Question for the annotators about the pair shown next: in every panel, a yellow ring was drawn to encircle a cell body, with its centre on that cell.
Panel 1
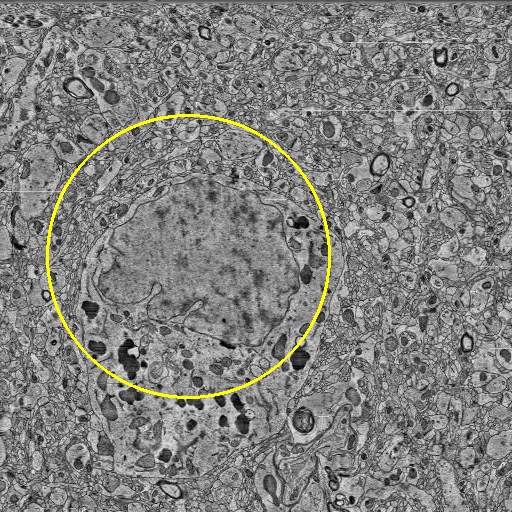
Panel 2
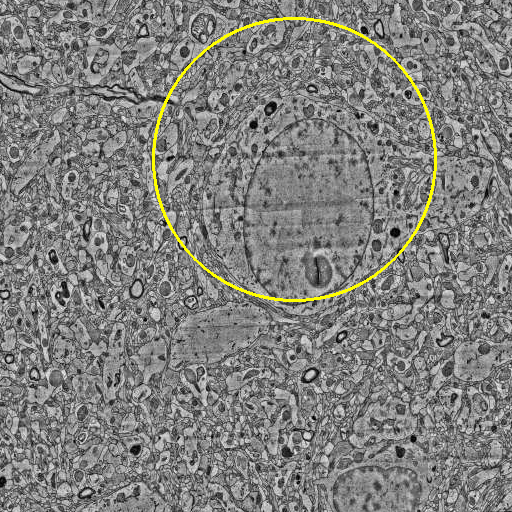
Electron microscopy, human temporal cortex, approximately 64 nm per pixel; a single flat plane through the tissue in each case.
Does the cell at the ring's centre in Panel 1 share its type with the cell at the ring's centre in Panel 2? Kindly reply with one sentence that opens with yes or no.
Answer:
No, in Panels 1 and 2 the cells at the ring centres belong to separate types.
